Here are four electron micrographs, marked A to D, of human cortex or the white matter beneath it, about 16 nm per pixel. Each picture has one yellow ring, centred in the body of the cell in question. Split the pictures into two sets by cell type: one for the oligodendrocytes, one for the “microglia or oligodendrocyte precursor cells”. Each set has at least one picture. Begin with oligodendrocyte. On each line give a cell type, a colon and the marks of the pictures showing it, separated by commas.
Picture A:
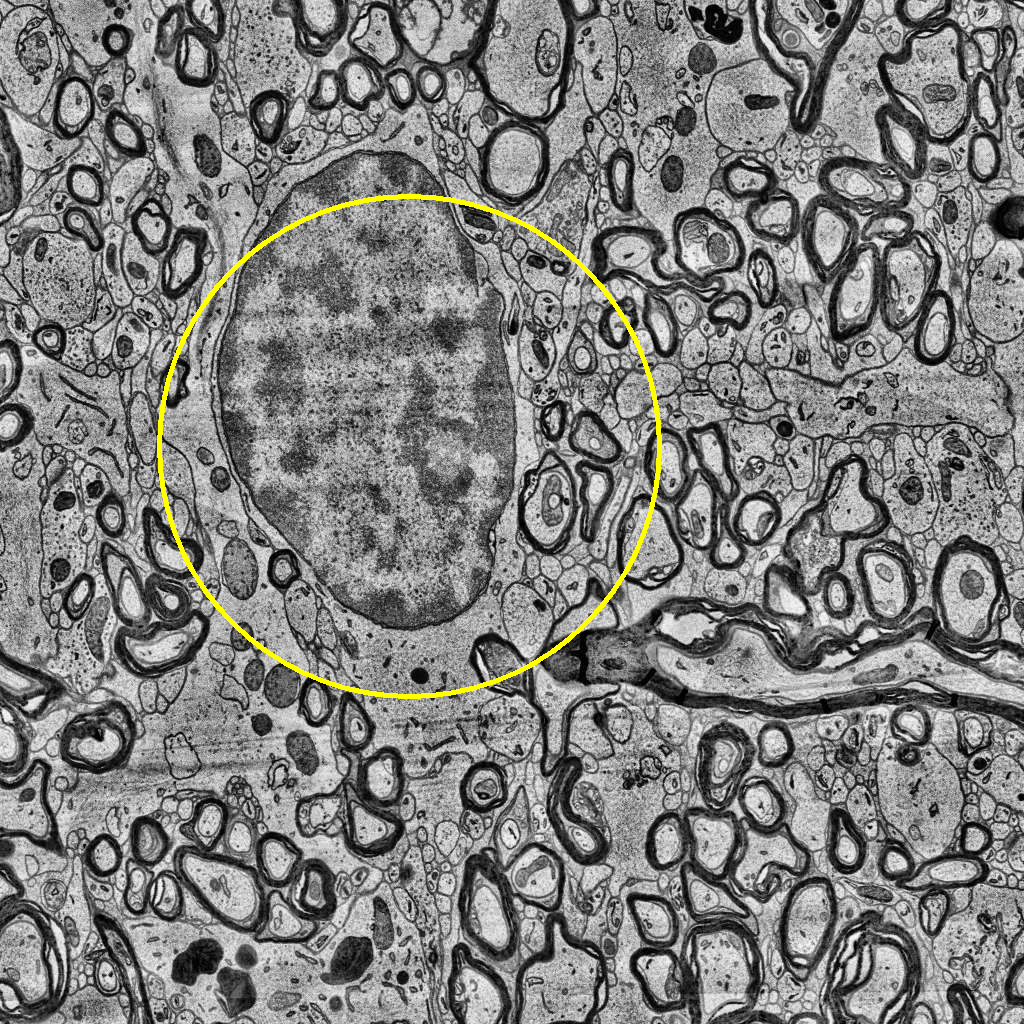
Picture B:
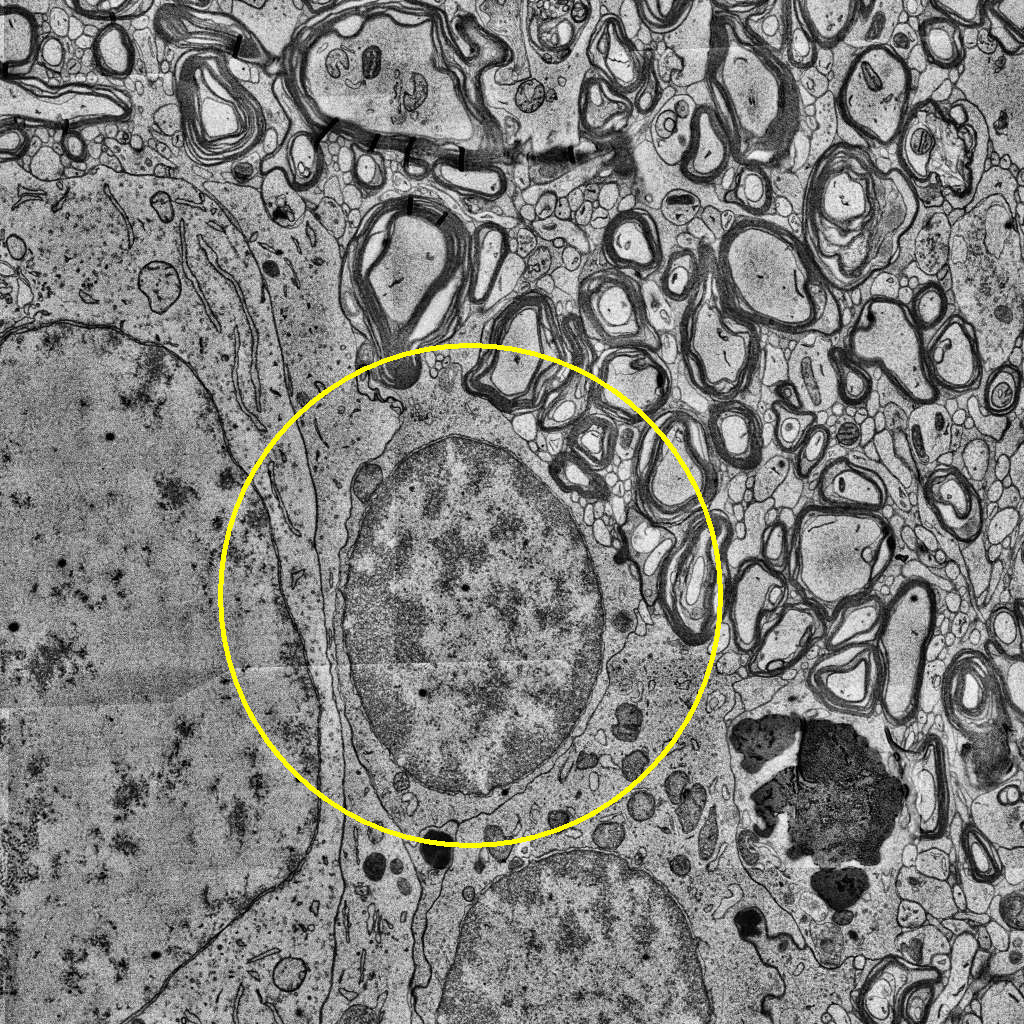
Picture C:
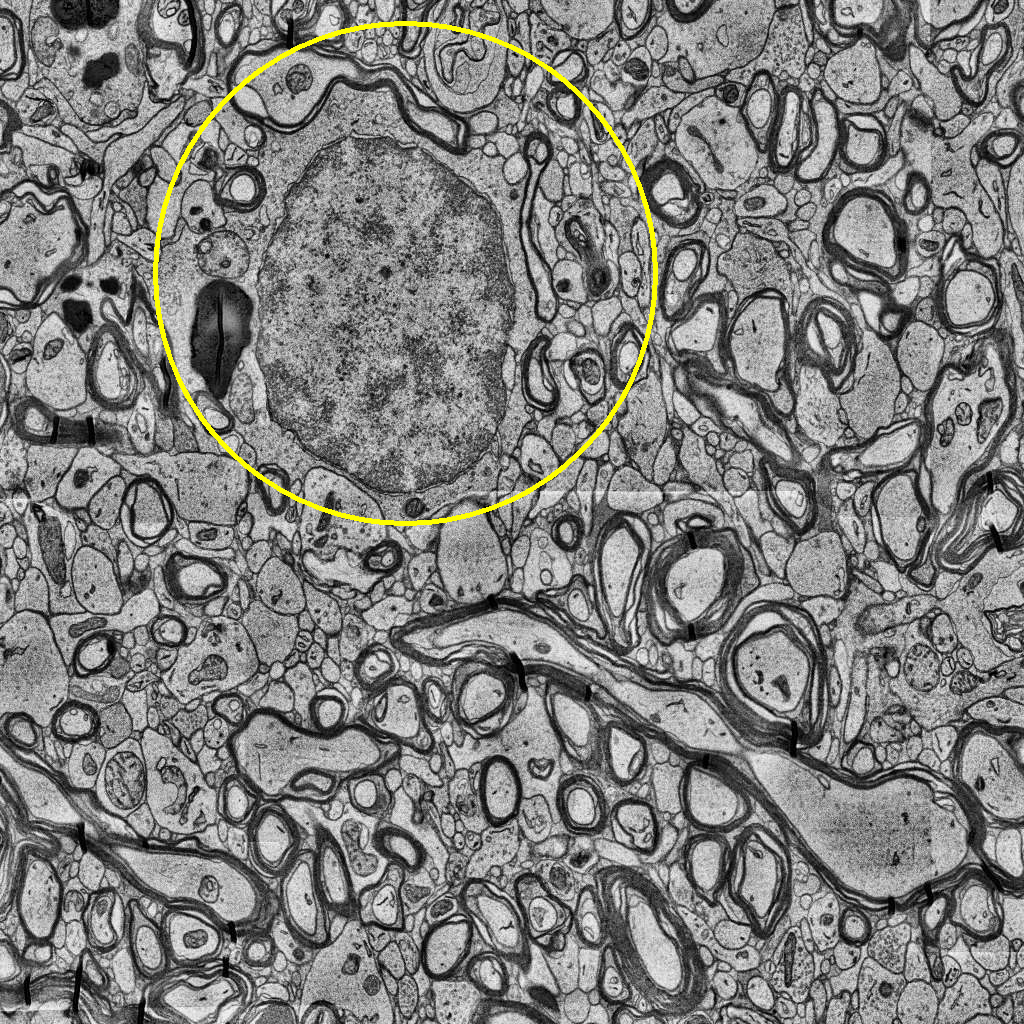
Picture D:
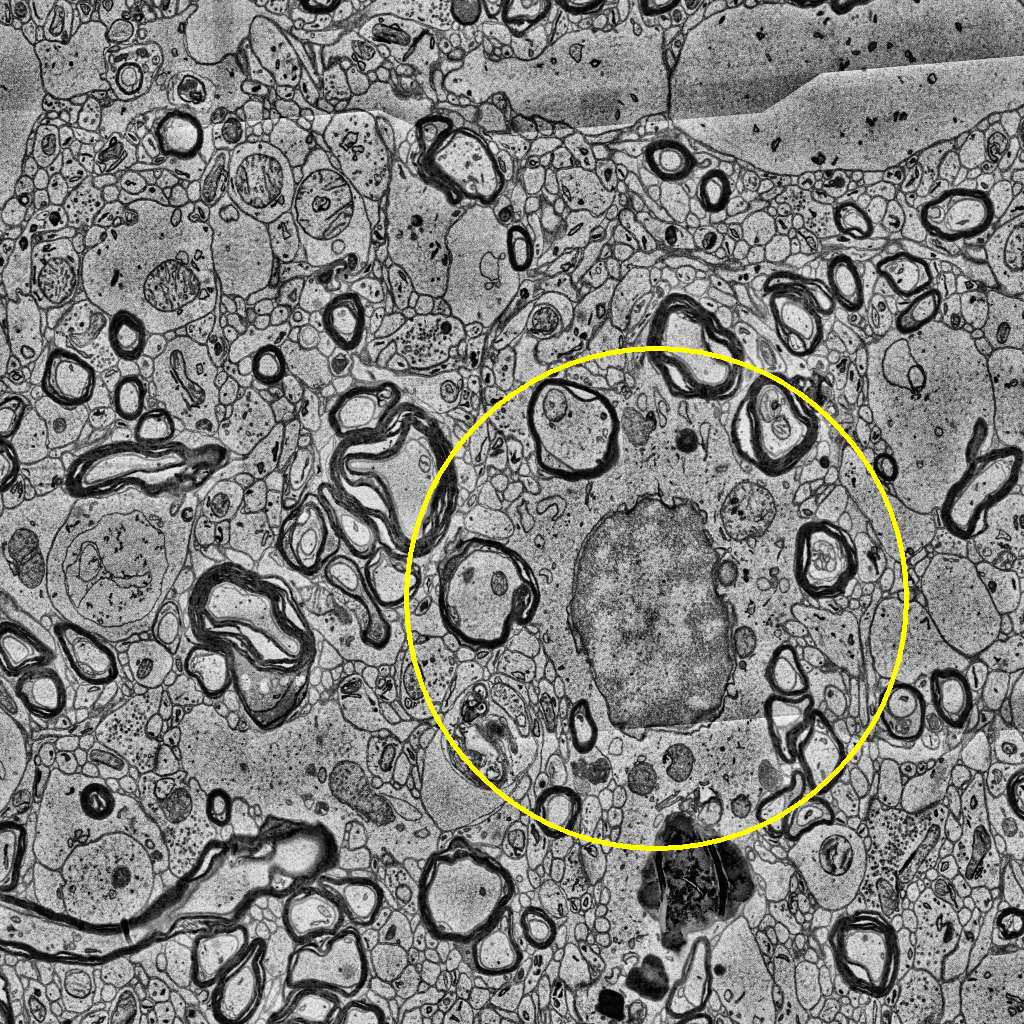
oligodendrocyte: B, C, D
microglia or oligodendrocyte precursor cell: A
